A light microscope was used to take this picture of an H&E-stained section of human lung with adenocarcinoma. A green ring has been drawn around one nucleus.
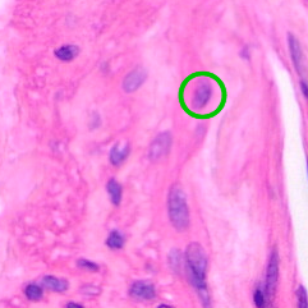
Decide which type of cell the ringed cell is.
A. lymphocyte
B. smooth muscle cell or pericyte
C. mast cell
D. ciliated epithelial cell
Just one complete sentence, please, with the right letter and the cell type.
Option B is the right one; the ringed cell is a smooth muscle cell or pericyte.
